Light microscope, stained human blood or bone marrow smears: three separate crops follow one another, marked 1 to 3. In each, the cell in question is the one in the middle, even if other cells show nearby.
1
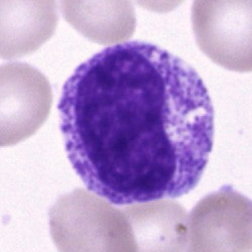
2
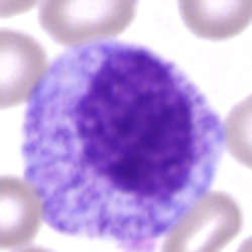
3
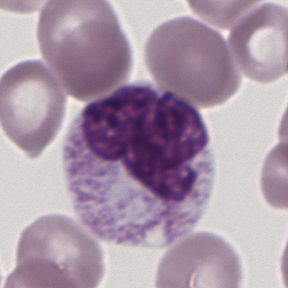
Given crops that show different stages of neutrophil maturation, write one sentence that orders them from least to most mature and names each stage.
Ordered by maturation stage, least mature first, these are crop 2 (a promyelocyte), crop 1 (a myelocyte) and crop 3 (a segmented neutrophil).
